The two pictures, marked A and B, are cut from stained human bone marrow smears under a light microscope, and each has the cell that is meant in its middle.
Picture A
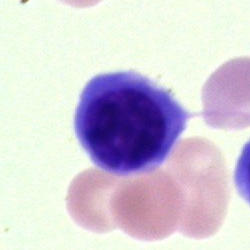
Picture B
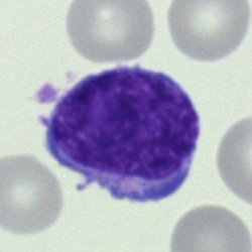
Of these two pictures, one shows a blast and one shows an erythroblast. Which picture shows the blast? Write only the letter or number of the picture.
B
